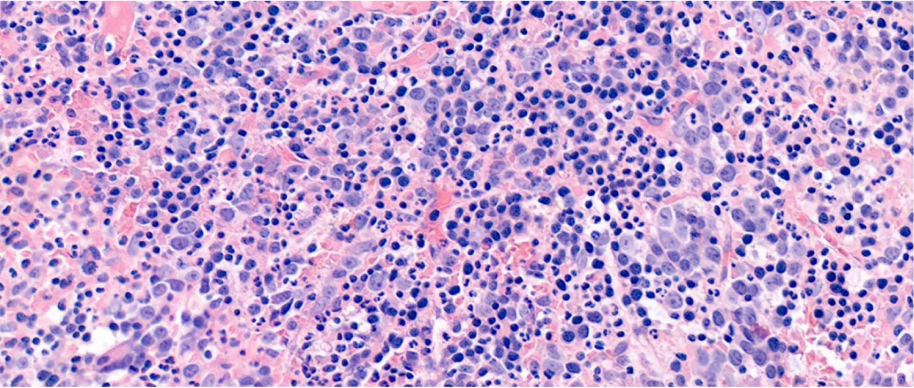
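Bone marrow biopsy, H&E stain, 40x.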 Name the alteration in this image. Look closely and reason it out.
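Erythroid hyperplasia. Large numbers of cells with small, round, dense dark nuclei fill the marrow. These cells lie in clusters and sheets between larger cells with paler nuclei. No fat spaces are visible.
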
